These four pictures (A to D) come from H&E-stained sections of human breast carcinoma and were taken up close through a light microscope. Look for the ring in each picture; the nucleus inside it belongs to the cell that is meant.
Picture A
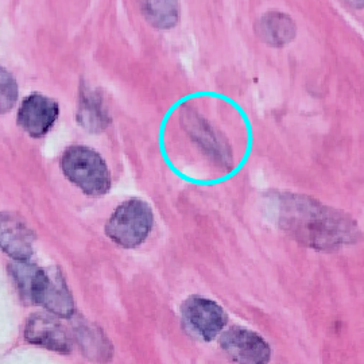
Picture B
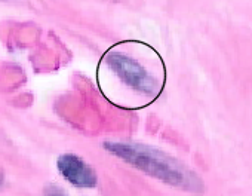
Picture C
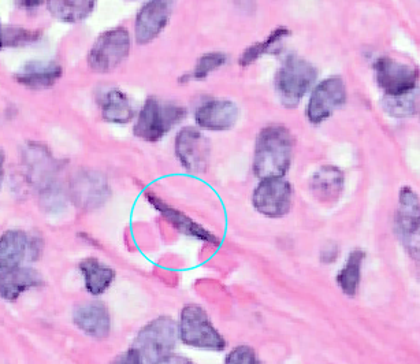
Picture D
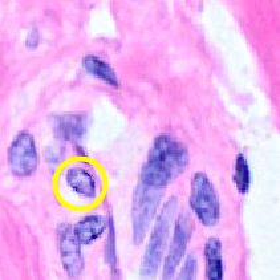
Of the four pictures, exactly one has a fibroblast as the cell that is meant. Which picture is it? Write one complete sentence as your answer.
Picture A shows the fibroblast.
